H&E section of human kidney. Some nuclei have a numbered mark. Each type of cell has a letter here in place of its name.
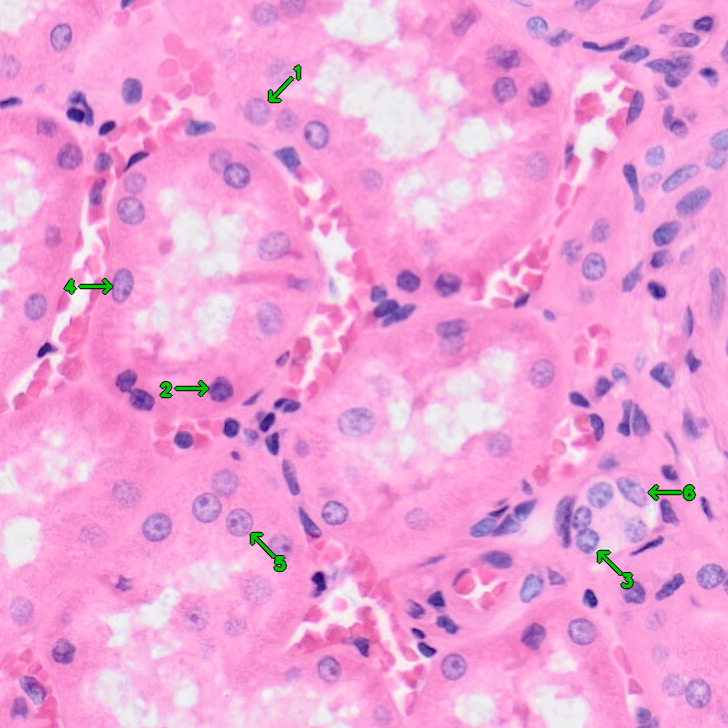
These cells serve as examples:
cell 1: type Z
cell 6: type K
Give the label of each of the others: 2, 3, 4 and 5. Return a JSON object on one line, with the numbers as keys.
{"2": "type Z", "3": "type K", "4": "type Z", "5": "type Z"}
